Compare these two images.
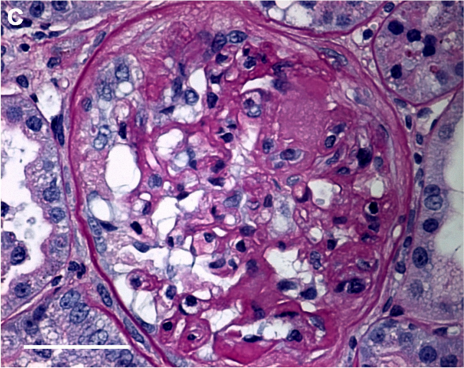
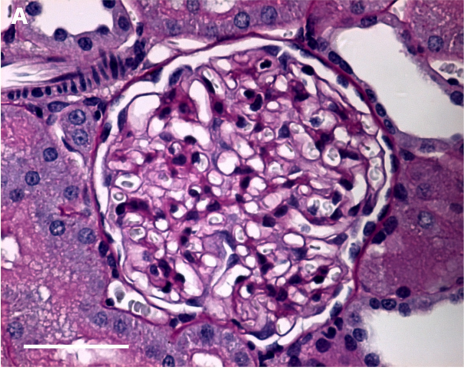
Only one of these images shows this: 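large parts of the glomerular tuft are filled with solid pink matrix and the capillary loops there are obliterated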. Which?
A: The first image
